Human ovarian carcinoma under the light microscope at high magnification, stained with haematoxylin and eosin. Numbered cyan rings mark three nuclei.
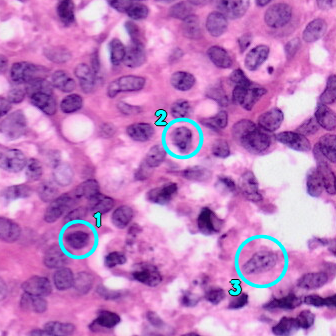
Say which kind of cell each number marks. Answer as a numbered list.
1. carcinoma cell
2. macrophage or monocyte
3. macrophage or monocyte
